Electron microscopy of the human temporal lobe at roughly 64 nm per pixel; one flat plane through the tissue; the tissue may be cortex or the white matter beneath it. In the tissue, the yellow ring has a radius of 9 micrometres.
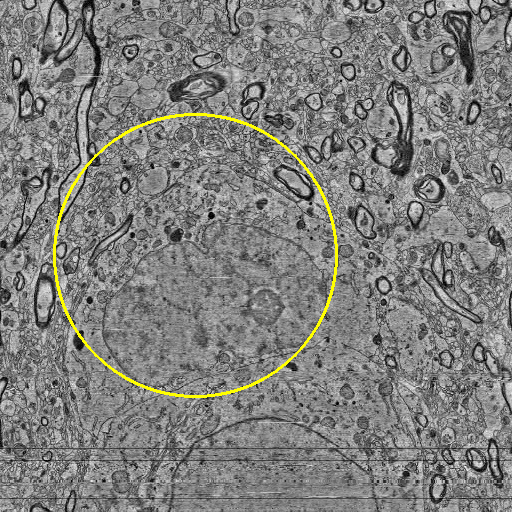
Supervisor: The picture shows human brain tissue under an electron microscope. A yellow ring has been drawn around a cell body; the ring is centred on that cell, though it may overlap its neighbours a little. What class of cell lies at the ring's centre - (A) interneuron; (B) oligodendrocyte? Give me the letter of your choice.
A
